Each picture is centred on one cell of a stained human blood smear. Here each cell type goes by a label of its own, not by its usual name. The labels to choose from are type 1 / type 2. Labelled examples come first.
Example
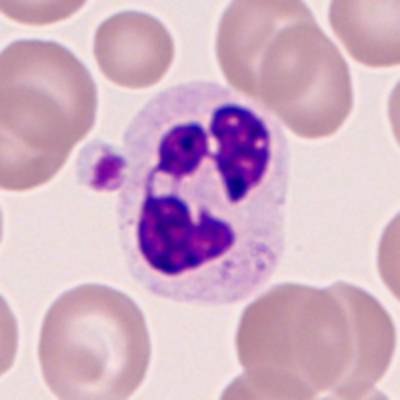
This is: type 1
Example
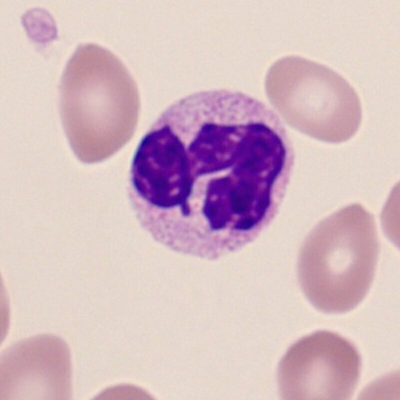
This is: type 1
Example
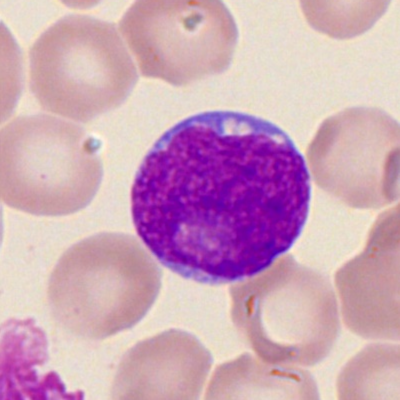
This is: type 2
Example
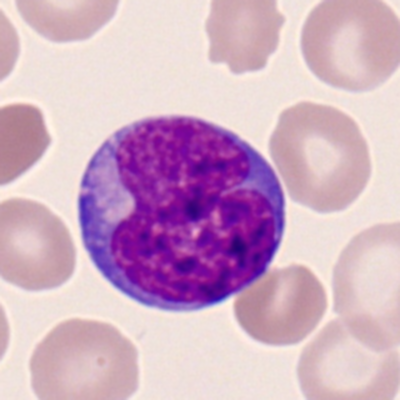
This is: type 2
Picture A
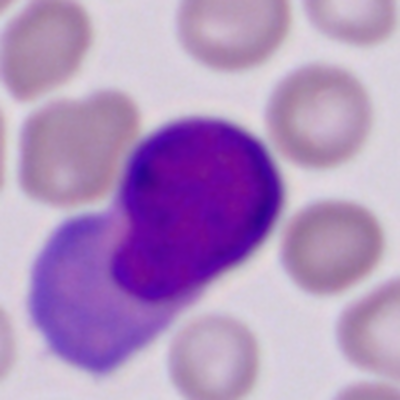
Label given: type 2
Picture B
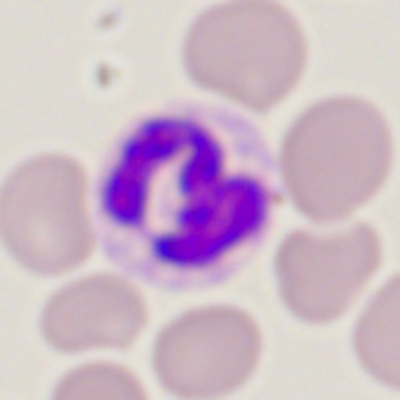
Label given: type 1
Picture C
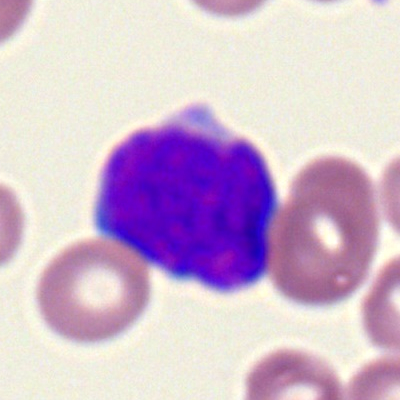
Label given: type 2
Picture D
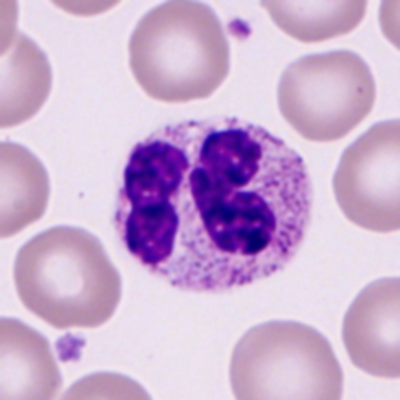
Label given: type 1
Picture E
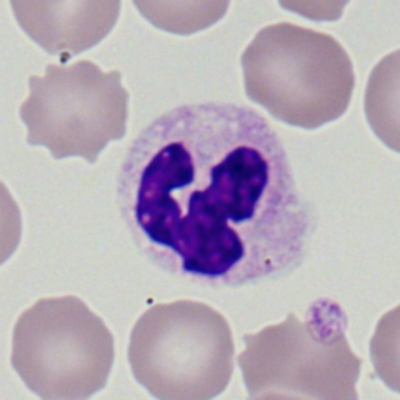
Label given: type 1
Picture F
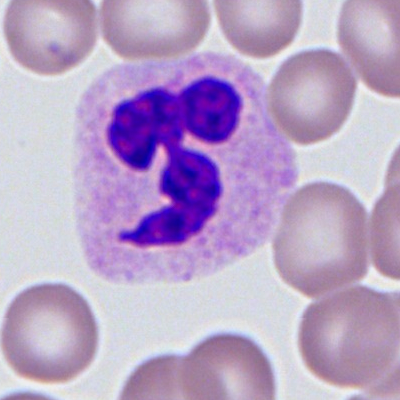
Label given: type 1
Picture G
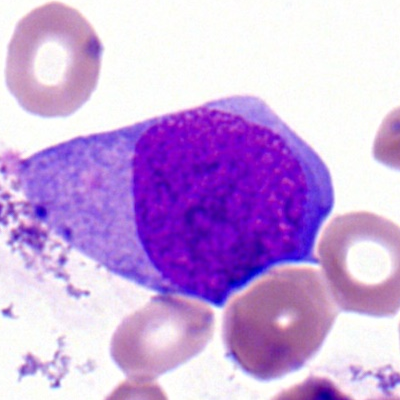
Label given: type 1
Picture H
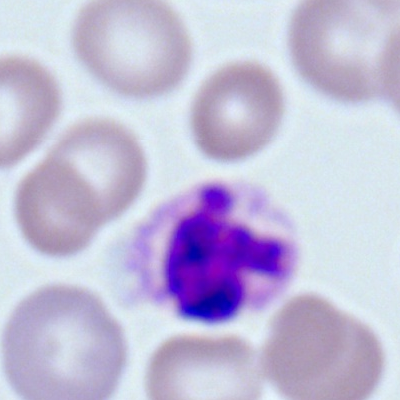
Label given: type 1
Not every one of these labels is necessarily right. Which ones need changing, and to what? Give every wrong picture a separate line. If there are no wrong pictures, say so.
G: not type 1 but type 2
